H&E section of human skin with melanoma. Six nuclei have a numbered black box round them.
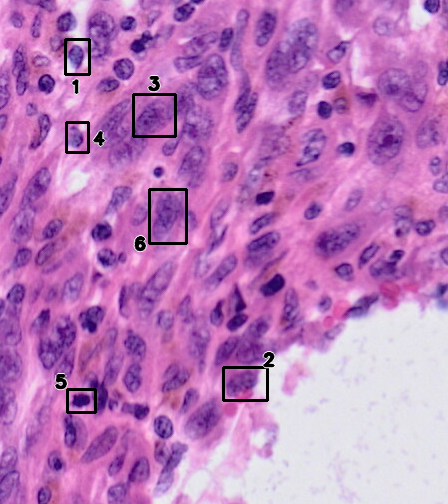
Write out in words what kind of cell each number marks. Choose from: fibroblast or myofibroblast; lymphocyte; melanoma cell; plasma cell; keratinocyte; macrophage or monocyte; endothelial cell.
Cell 1 is a lymphocyte, cell 2 is a melanoma cell, cell 3 is a melanoma cell, cell 4 is a lymphocyte, cell 5 is a lymphocyte and cell 6 is a melanoma cell.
